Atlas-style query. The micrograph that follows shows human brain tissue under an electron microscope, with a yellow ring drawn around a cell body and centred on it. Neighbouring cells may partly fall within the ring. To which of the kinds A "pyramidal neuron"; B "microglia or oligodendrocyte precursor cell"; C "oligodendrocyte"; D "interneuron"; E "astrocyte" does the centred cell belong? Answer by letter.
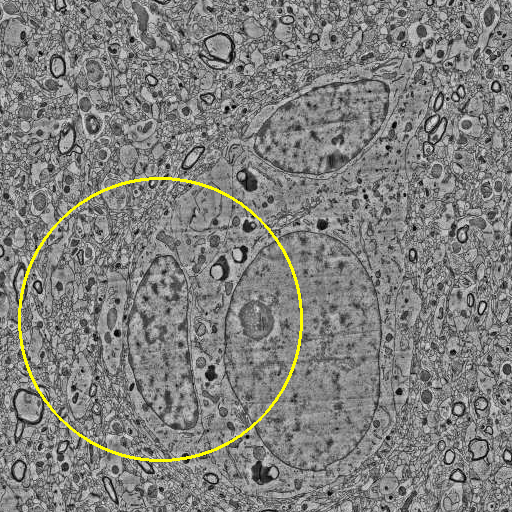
B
